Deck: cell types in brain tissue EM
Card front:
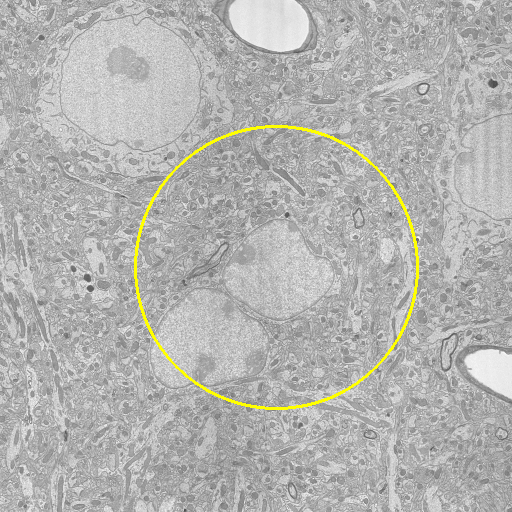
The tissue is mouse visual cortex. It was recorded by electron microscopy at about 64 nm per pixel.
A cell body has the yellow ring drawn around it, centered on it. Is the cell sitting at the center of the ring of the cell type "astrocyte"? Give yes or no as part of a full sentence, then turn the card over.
Yes, on this card the yellow ring is centered on a cell of that type.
